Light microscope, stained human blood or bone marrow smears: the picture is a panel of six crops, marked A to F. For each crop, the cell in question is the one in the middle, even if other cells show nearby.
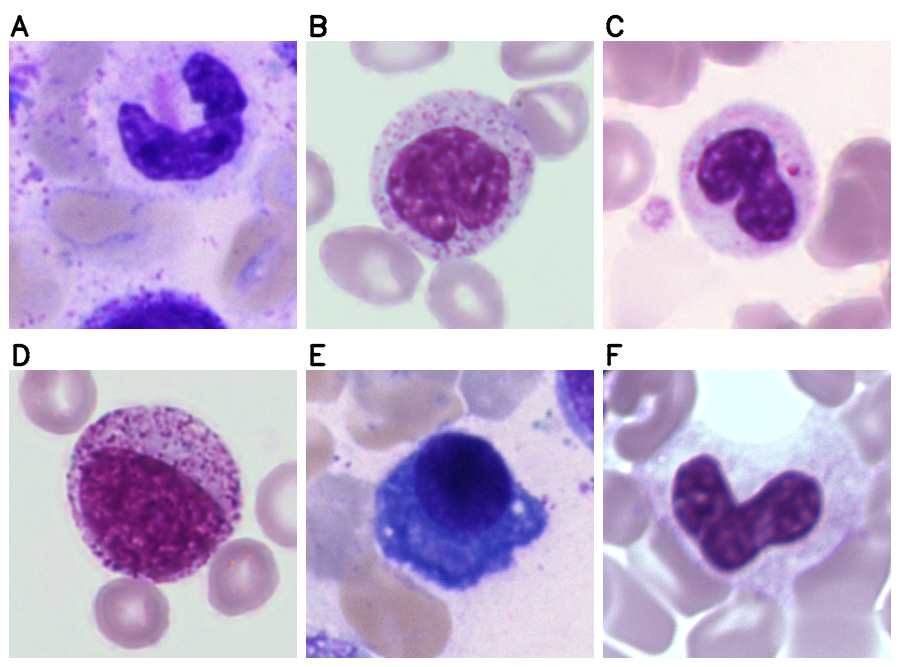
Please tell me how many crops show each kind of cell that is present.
band neutrophil: 4
myelocyte: 1
plasma cell: 1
